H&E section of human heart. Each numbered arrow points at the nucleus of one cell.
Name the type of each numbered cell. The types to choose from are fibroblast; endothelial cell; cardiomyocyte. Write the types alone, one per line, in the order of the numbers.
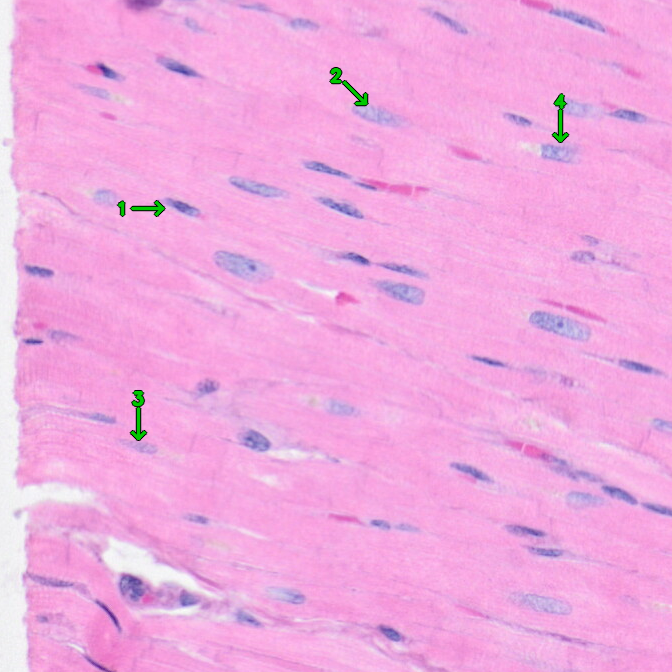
endothelial cell
cardiomyocyte
cardiomyocyte
cardiomyocyte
